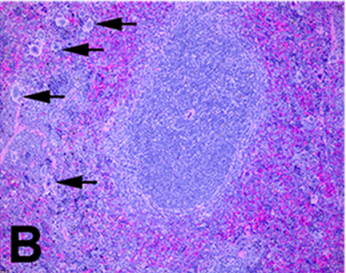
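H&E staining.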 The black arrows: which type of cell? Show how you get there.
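The arrows point to large, pale cells scattered in the red pulp beside a lymphoid follicle. These cells are much larger than the surrounding small cells.
Megakaryocyte.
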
